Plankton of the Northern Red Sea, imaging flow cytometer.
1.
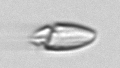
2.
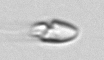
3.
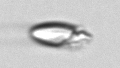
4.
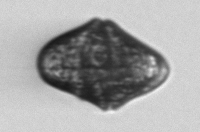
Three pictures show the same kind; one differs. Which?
Picture 4: Akashiwo, while the others are Kapelodinium.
